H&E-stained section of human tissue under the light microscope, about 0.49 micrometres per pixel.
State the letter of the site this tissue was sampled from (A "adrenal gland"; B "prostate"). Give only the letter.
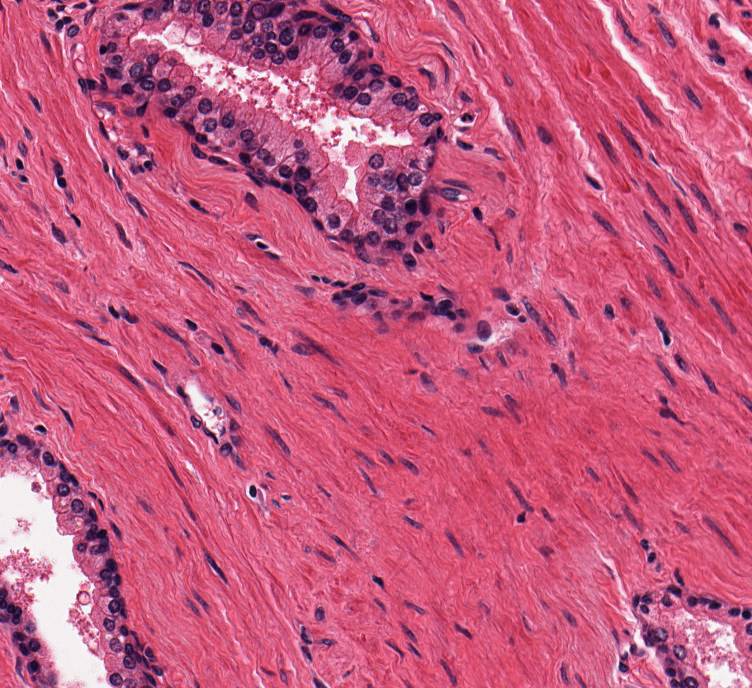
B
